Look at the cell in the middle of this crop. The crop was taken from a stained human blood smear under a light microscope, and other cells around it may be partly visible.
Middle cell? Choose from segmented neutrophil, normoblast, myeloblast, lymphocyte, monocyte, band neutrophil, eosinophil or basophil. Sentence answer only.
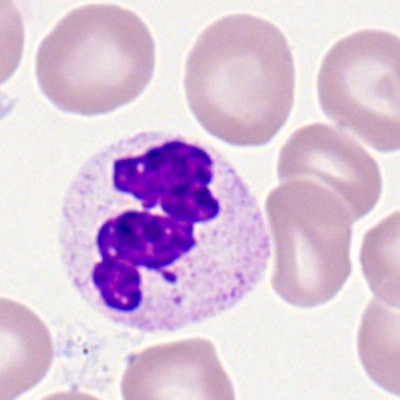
Standing at the centre of this crop is a segmented neutrophil.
